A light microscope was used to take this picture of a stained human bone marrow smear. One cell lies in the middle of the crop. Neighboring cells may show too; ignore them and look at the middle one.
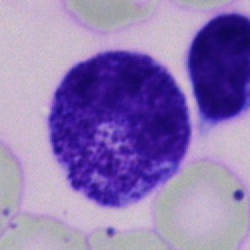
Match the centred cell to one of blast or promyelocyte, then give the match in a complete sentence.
The cell featured at the centre of this crop is a promyelocyte.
